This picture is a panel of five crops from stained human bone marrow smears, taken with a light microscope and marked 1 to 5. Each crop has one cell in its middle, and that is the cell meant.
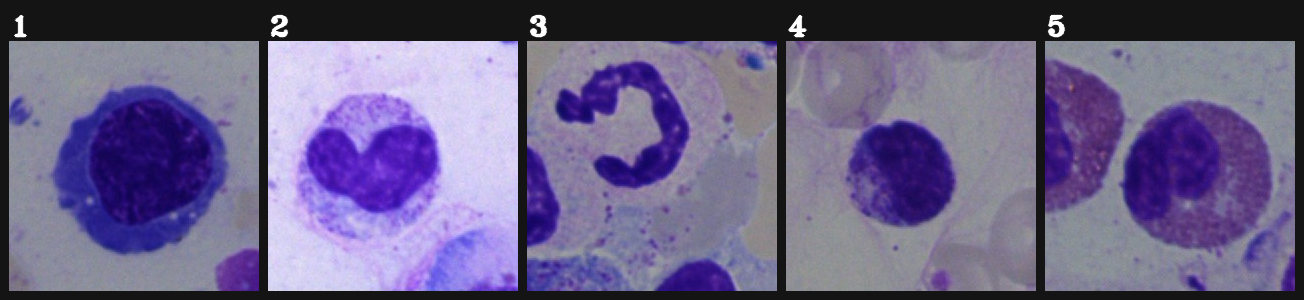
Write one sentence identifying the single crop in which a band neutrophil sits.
The crop marked 2 is the one that shows a band neutrophil.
